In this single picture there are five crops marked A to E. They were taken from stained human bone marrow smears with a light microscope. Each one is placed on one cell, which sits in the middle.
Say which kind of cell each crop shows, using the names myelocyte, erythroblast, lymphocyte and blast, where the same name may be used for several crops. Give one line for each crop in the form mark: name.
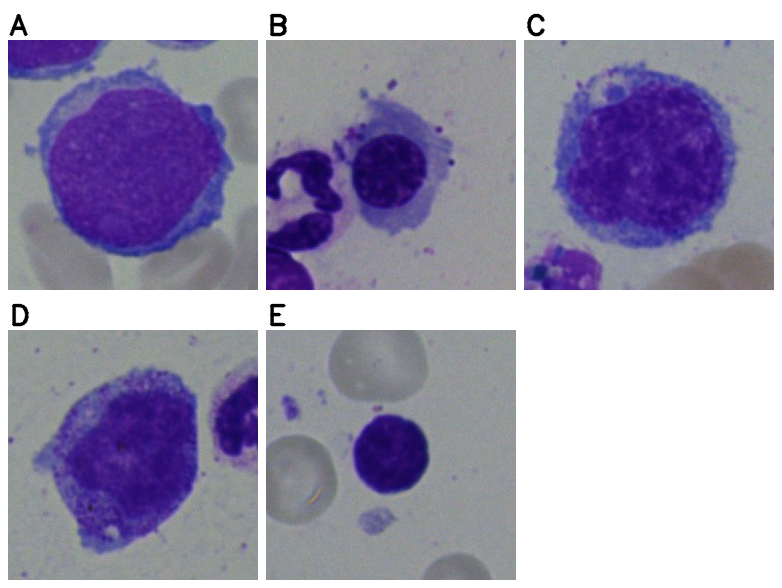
A: blast
B: erythroblast
C: blast
D: myelocyte
E: lymphocyte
